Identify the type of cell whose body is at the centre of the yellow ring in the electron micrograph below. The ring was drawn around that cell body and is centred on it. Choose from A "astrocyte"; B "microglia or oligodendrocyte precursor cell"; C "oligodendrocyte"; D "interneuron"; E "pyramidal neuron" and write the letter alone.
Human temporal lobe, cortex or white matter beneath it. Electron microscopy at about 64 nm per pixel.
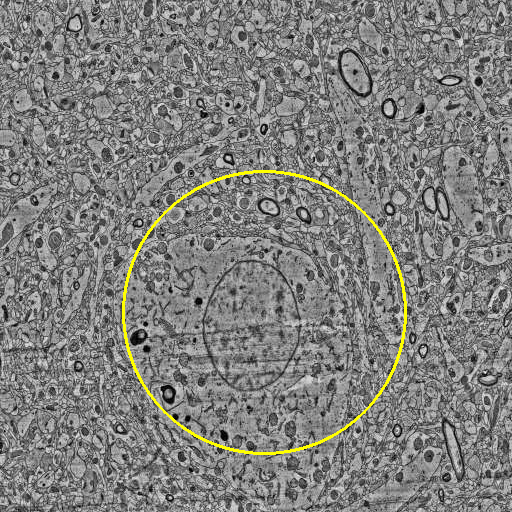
E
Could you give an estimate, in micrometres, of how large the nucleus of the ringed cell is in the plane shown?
In this plane the nucleus spans approximately 8 by 6 micrometers.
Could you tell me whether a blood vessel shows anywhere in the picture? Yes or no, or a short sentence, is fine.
No, there is no blood vessel in the image.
